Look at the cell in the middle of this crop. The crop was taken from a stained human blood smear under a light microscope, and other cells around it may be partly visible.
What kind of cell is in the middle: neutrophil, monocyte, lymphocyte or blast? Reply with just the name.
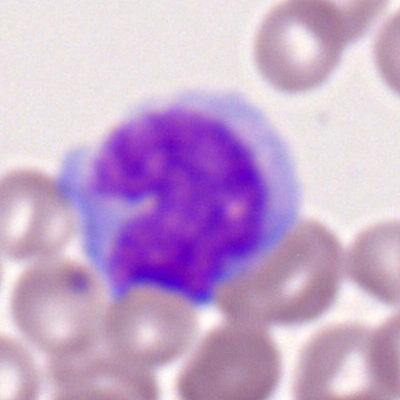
monocyte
